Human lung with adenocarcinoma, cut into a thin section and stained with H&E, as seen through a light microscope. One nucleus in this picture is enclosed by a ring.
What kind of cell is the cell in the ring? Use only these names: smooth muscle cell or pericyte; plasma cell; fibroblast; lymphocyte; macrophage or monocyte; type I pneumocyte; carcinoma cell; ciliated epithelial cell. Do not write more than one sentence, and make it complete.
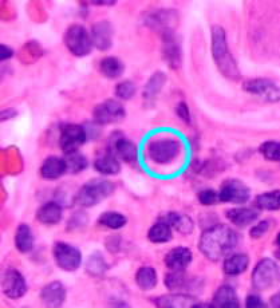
In cellular terms, the cell in the ring is a lymphocyte.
